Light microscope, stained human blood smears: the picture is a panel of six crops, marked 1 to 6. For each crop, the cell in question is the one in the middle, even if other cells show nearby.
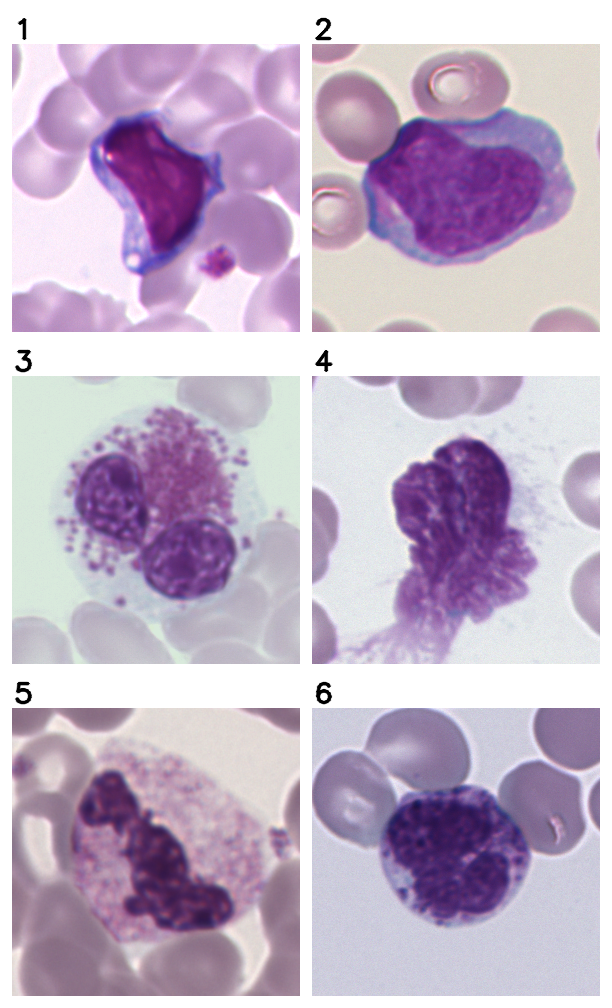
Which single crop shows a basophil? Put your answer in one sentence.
The crop showing a basophil in this series is crop 6.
